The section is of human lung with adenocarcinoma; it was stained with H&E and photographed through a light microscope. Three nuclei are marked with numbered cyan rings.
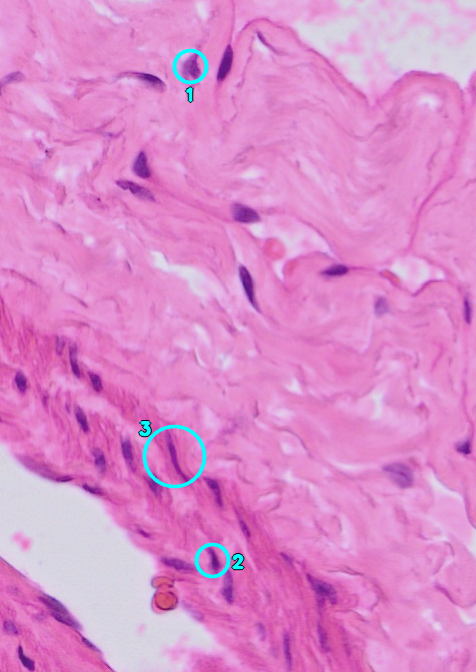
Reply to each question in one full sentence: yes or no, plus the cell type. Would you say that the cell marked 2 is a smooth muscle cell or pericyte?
Yes, the cell corresponding to number 2 is a smooth muscle cell or pericyte.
